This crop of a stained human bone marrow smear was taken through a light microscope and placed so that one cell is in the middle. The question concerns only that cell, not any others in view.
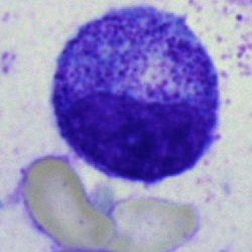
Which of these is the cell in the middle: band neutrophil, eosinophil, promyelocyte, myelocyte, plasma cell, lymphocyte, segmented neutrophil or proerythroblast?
myelocyte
